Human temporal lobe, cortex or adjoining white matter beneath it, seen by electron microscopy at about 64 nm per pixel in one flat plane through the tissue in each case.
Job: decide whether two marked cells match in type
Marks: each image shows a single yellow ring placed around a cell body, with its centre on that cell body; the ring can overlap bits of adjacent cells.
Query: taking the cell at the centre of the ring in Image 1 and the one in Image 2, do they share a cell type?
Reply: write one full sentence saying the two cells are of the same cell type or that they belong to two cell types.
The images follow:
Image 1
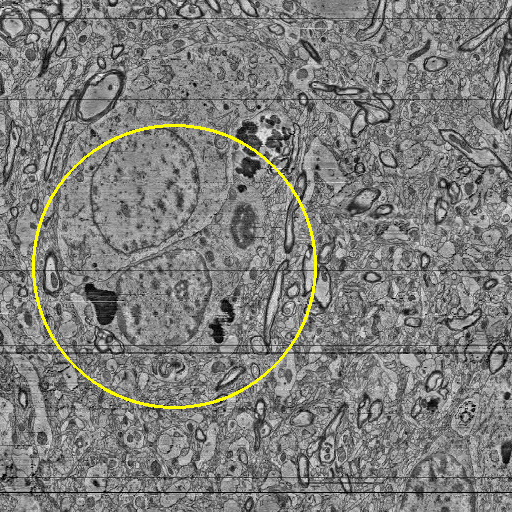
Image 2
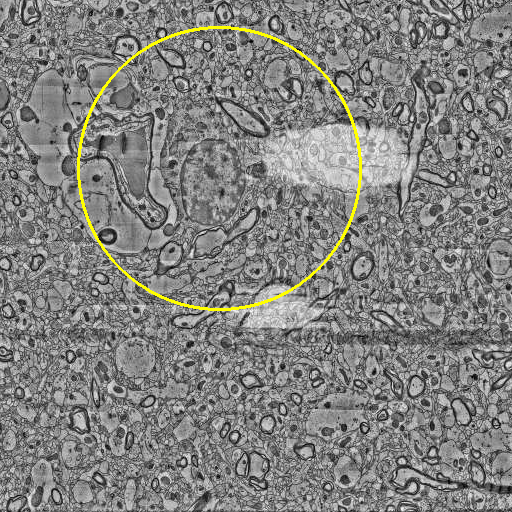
The cells at the ring centres in Image 1 and Image 2 are of the same cell type.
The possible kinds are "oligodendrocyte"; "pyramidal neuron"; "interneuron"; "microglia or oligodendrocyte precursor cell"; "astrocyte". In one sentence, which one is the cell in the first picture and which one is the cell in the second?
Each cell, in the first picture and the second, is an oligodendrocyte.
